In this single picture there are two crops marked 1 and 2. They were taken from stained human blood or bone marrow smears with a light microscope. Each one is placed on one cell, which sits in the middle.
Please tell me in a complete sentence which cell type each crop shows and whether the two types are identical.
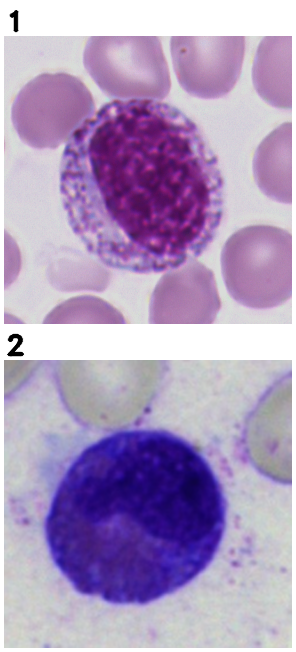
No, crop 1 represents a myelocyte, and crop 2 represents an eosinophil.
